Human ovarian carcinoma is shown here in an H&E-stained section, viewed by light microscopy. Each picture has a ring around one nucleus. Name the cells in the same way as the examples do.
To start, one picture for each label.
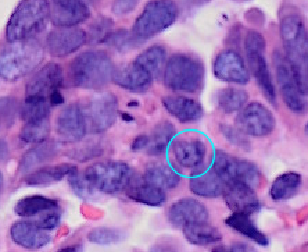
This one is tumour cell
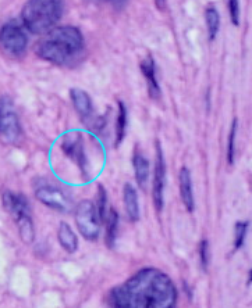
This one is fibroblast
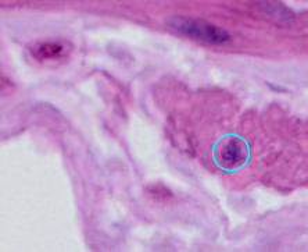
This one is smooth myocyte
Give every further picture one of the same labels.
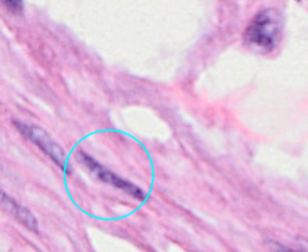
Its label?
fibroblast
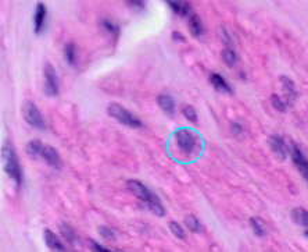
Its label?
smooth myocyte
